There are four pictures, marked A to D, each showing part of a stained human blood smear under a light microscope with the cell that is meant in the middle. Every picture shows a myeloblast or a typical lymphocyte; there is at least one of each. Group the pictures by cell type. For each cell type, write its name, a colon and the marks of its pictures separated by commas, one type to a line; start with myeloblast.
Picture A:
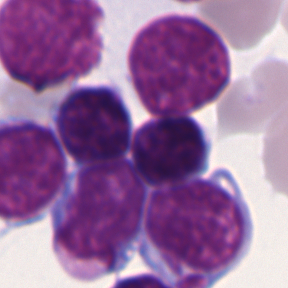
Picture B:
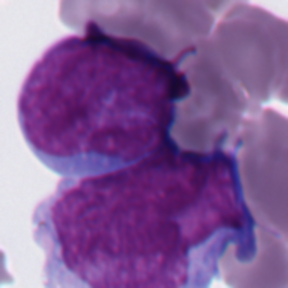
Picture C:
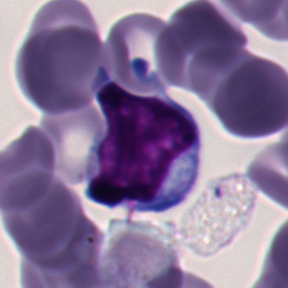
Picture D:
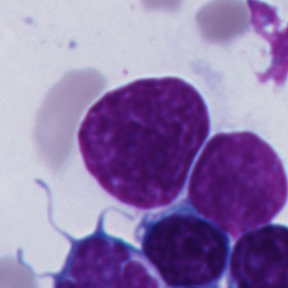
myeloblast: A, B, D
typical lymphocyte: C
